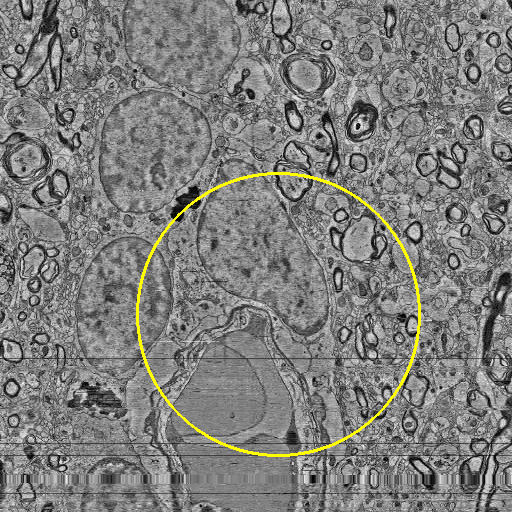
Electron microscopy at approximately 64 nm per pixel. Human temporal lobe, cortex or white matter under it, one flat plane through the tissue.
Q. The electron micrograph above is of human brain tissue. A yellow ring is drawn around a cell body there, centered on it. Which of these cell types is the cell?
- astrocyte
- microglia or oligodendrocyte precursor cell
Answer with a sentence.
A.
The cell under the ring's center is a microglial cell or oligodendrocyte precursor cell.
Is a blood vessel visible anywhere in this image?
Yes, the picture includes a blood vessel.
